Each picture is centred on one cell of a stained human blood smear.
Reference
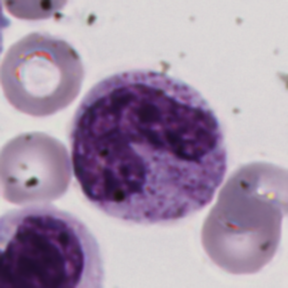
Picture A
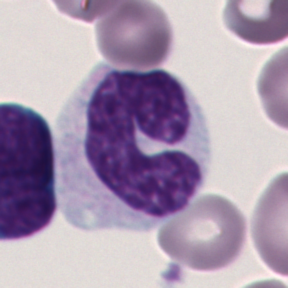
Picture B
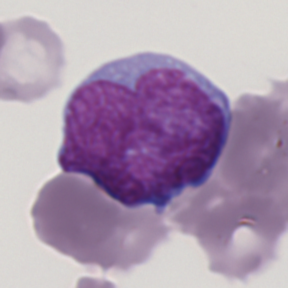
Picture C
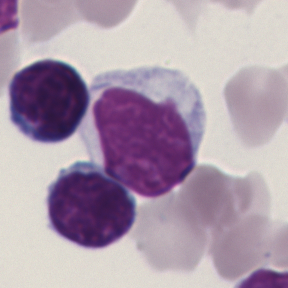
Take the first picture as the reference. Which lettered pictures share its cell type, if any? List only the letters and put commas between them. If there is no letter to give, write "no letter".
A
